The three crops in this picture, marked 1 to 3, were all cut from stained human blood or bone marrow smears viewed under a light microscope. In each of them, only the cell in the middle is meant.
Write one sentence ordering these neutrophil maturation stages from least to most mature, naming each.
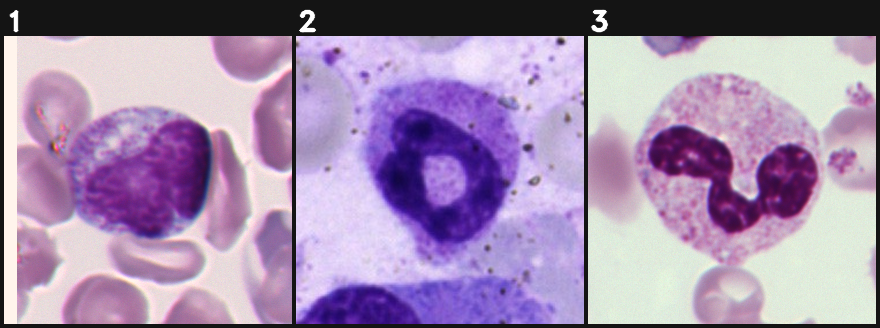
Ranked by maturation stage, earliest first, the crops read crop 1 (a metamyelocyte), crop 2 (a band neutrophil) and crop 3 (a segmented neutrophil).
